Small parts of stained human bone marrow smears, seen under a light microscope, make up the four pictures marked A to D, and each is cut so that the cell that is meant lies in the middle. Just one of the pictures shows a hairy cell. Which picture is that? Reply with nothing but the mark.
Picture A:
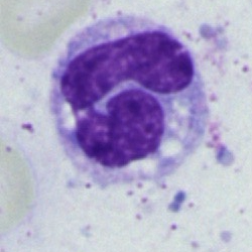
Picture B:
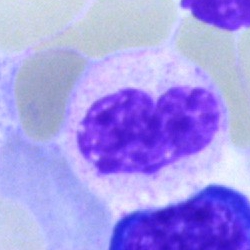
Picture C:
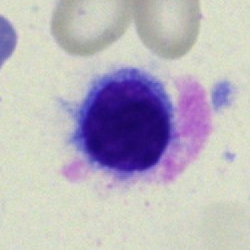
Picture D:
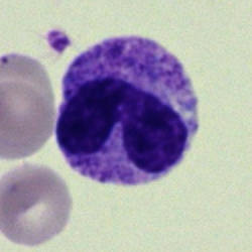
C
